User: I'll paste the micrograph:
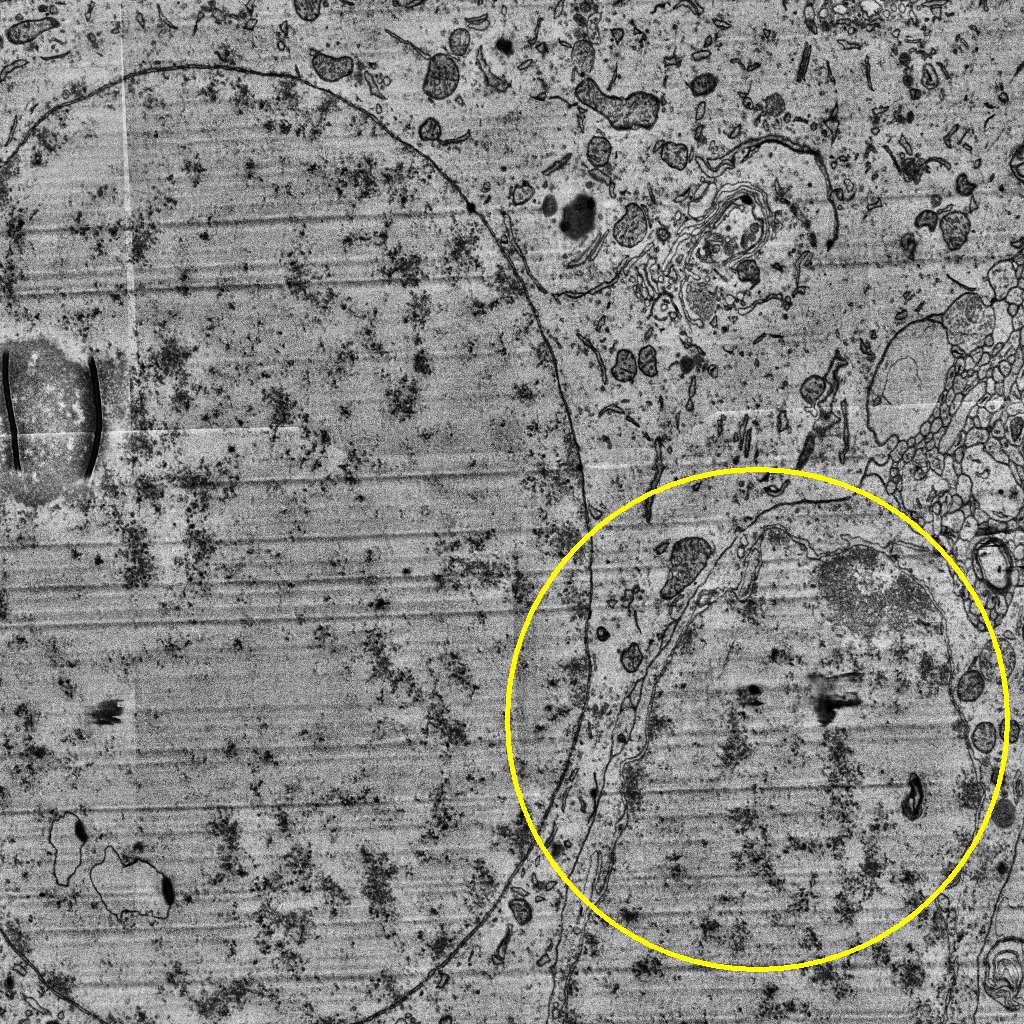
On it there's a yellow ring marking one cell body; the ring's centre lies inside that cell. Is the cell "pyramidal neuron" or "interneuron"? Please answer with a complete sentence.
The cell at the centre of the yellow ring is an interneuron.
